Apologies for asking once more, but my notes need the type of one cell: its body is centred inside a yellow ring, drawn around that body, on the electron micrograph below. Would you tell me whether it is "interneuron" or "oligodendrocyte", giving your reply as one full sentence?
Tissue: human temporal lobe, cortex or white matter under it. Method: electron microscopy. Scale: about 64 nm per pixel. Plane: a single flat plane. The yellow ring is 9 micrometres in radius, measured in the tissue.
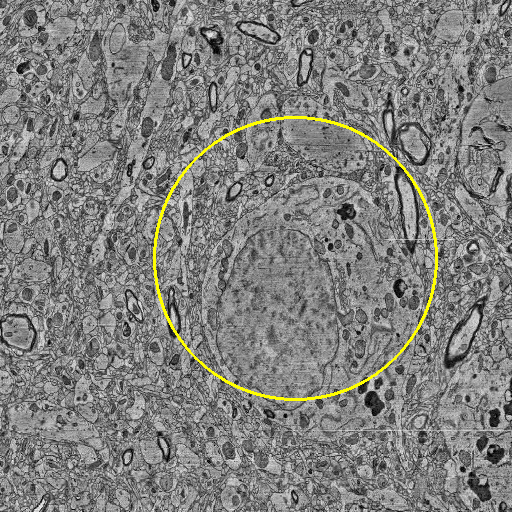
The cell that the yellow ring is centred on is an interneuron in this micrograph.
